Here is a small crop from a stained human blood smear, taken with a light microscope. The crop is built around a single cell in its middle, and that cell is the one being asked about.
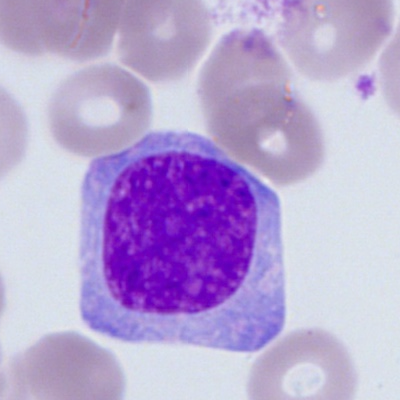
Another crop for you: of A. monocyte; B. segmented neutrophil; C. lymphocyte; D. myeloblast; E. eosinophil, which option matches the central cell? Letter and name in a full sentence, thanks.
Located in the middle of the crop is a myeloblast, and option D is therefore correct.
